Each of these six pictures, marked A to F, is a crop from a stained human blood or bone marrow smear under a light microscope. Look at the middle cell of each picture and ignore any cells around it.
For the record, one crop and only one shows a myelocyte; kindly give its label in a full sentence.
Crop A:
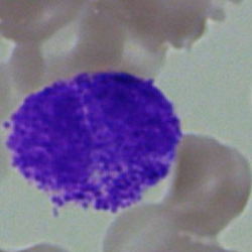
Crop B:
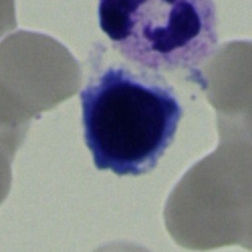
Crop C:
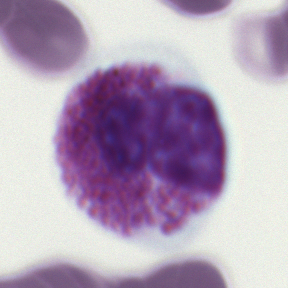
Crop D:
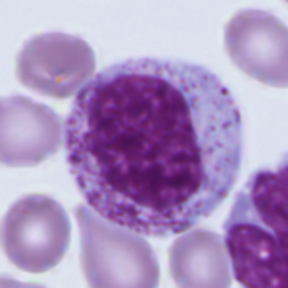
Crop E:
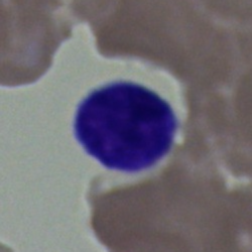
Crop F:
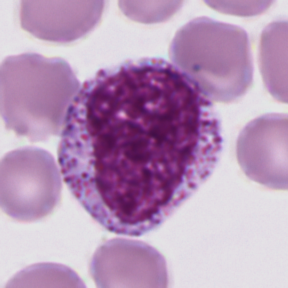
Crop D, of the crops presented, is the one showing a myelocyte.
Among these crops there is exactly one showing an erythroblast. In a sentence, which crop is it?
Crop B is the correct crop, and it shows an erythroblast.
